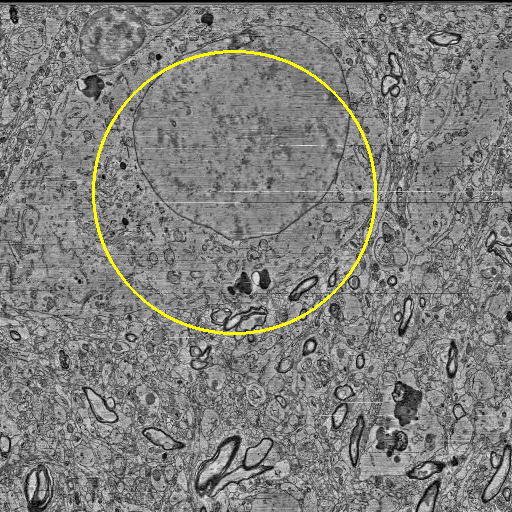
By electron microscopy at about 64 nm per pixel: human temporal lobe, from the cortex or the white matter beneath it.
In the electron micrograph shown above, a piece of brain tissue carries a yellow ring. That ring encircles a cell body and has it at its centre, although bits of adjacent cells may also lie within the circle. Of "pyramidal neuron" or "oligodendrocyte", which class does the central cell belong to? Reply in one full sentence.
The cell body at the centre of the yellow ring belongs to a pyramidal neuron.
